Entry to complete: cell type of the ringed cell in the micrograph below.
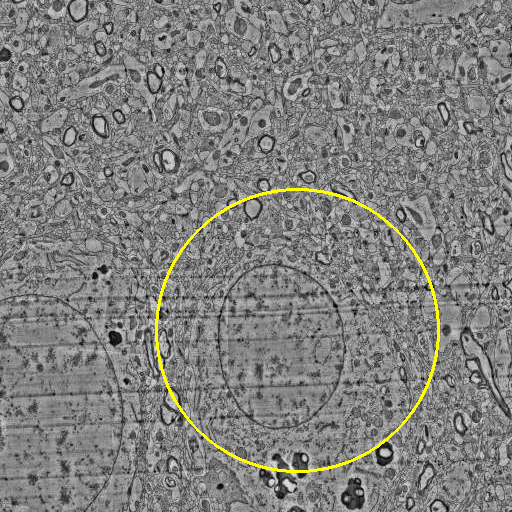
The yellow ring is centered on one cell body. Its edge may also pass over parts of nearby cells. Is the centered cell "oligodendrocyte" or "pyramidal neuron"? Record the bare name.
pyramidal neuron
